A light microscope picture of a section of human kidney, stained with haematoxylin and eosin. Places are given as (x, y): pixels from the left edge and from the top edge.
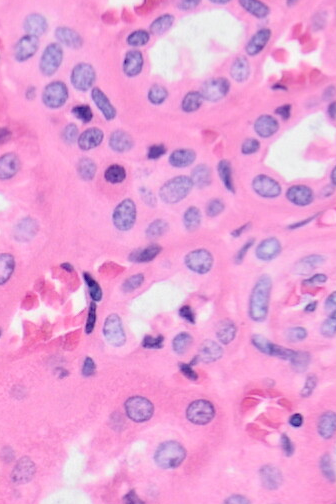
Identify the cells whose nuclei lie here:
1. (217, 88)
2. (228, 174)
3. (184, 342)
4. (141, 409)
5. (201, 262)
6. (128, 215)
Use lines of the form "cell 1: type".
cell 1: collecting duct cell
cell 2: endothelial cell
cell 3: collecting duct cell
cell 4: proximal tubule cell
cell 5: collecting duct cell
cell 6: collecting duct cell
